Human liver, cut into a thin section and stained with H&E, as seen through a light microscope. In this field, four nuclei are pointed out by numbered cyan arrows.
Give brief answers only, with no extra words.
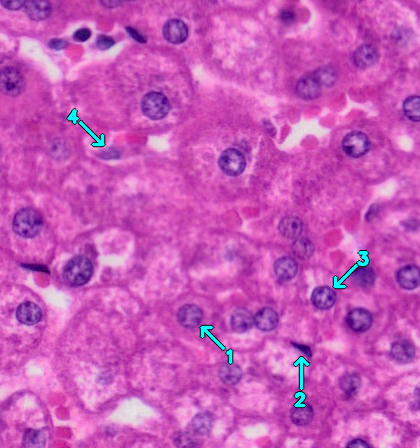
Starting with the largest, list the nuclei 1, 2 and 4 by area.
1, 4, 2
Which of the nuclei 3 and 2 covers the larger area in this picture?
3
